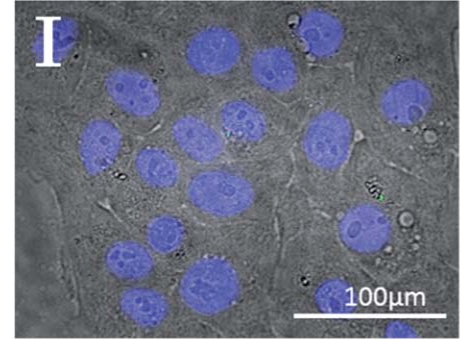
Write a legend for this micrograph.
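The cells form a fairly dense monolayer whose borders appear only faintly in the grey bright-field background. Each cell holds a large oval blue nucleus, fairly uniform in size, with several darker small spots inside that resemble nucleoli. The nuclei are spaced fairly evenly and do not overlap much. A few small dark granules and rounded refractile bodies lie between cells, and only a tiny green speck is seen near the lower right; otherwise green fluorescence is nearly absent.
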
